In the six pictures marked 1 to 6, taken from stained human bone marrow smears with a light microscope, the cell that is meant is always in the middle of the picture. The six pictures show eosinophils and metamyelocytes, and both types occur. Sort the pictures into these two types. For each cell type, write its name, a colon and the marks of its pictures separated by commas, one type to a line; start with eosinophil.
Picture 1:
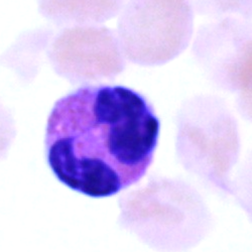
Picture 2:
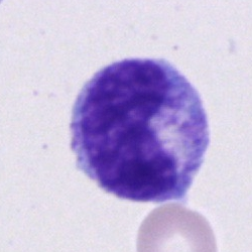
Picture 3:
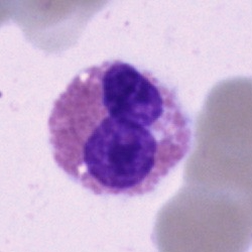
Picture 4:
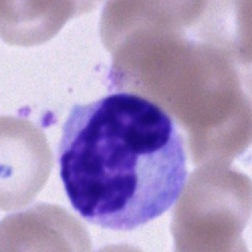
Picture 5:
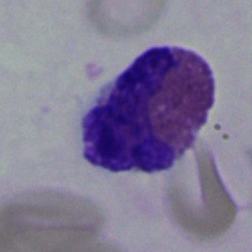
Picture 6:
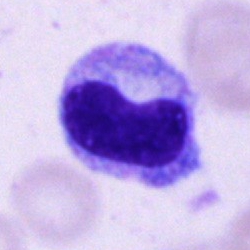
eosinophil: 1, 3, 5
metamyelocyte: 2, 4, 6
